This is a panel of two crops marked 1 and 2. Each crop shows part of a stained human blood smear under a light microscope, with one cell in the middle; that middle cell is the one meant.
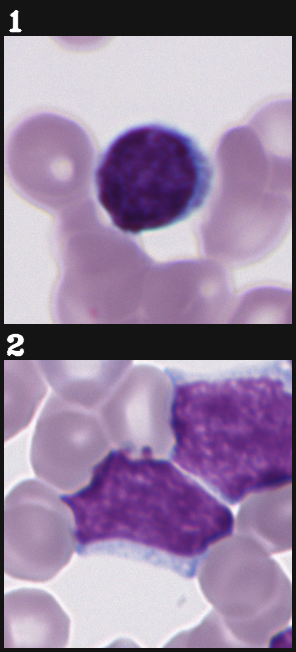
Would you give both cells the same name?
yes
